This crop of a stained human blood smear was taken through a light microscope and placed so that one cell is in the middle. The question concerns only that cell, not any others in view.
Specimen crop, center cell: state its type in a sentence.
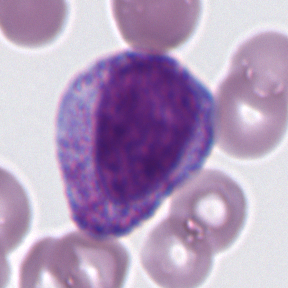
Regarding the central cell, it is an atypical promyelocyte.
